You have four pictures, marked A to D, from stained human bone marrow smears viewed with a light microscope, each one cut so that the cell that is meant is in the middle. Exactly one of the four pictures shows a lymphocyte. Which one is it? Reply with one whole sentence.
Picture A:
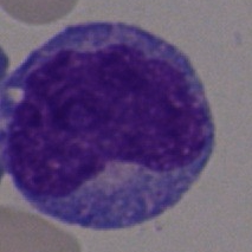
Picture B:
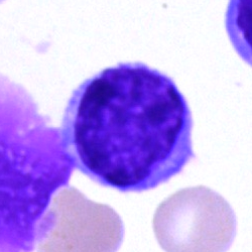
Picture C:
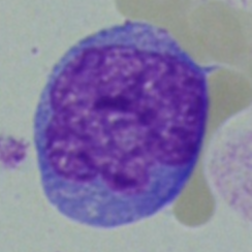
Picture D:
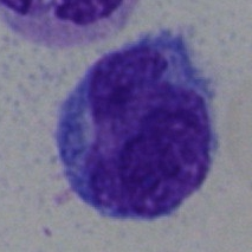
The cell in picture B is the lymphocyte.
